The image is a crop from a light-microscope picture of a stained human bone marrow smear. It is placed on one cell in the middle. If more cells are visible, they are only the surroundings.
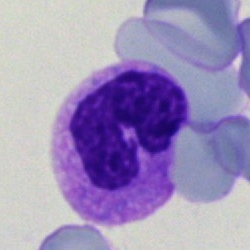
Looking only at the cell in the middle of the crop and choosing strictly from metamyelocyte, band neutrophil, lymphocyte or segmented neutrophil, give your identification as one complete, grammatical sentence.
Where the crop is centred, there is a band neutrophil.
